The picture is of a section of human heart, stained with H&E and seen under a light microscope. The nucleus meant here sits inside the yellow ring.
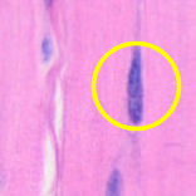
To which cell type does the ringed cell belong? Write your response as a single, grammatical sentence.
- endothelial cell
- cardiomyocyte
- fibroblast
The category to which the ringed cell belongs is that of an endothelial cell.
